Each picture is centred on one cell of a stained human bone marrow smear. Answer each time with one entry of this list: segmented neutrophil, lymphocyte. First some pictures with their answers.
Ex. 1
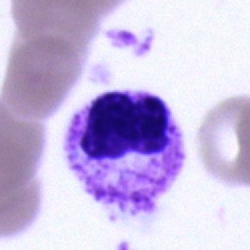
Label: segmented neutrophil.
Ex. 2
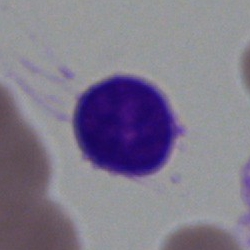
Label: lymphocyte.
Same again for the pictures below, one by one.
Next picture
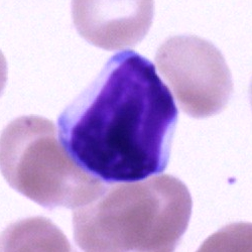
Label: lymphocyte.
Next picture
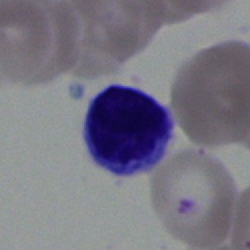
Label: lymphocyte.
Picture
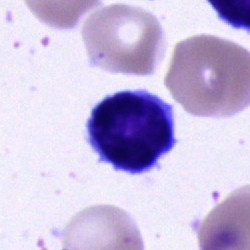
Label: lymphocyte.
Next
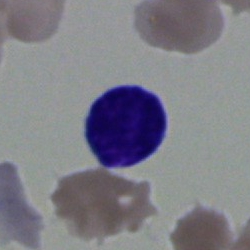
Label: lymphocyte.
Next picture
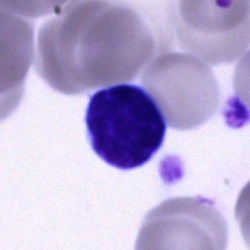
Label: lymphocyte.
